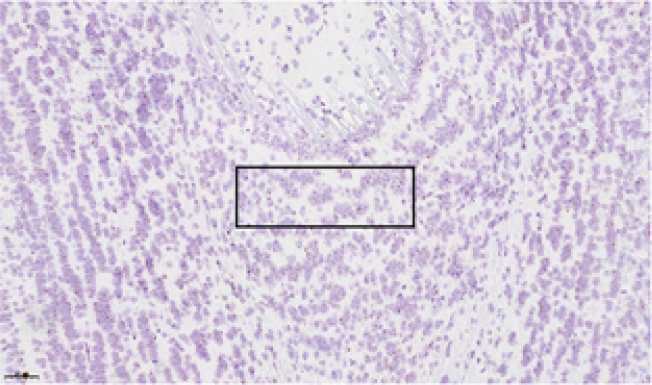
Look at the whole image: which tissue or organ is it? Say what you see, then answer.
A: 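Olfactory bulb. Small dark cells packed in streaks and clusters across the field.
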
